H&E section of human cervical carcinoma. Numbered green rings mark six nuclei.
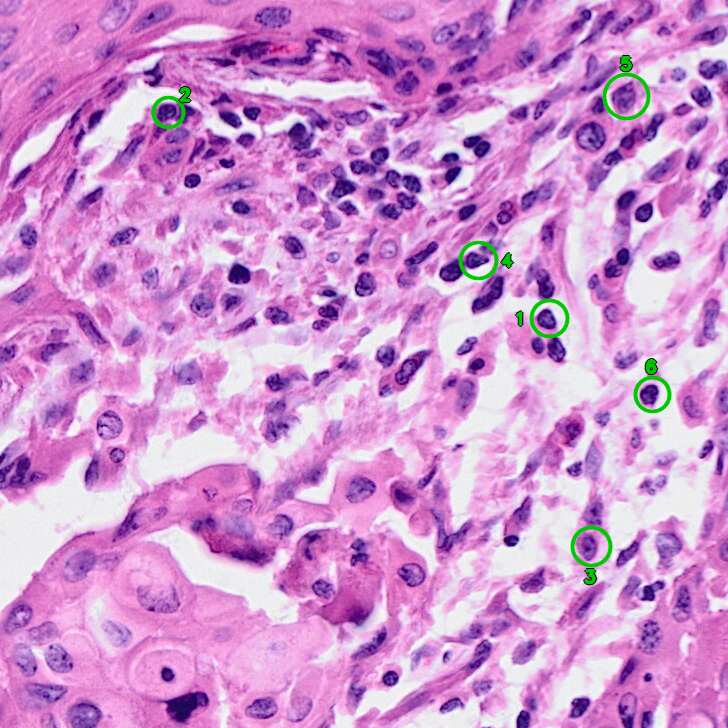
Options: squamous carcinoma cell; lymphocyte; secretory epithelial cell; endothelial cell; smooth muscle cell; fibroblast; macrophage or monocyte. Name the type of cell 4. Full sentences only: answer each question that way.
As for number 4, that cell is a lymphocyte.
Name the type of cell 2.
Regarding cell 2, this one is a lymphocyte.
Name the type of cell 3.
Marked with the number 3, this cell is a macrophage or monocyte.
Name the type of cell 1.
The marked cell bearing number 1 is a lymphocyte.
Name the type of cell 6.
The marked cell with the number 6 is recognised as a lymphocyte.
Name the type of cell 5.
Number 5 is placed on a macrophage or monocyte here.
